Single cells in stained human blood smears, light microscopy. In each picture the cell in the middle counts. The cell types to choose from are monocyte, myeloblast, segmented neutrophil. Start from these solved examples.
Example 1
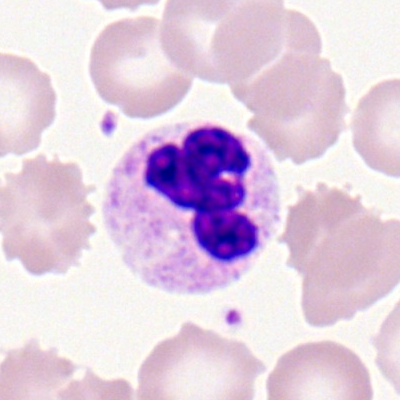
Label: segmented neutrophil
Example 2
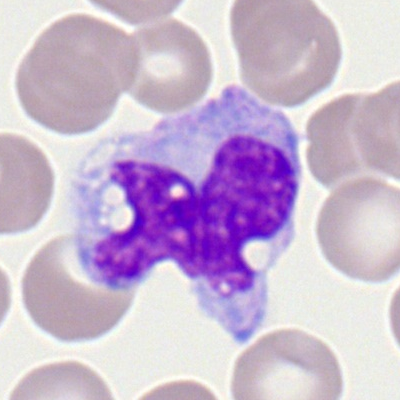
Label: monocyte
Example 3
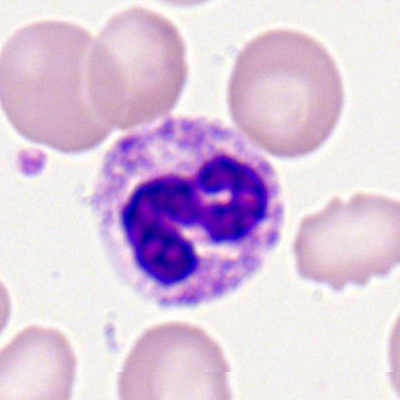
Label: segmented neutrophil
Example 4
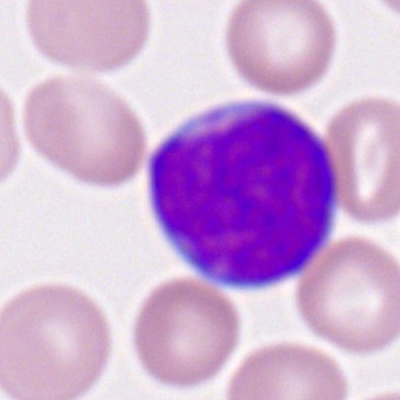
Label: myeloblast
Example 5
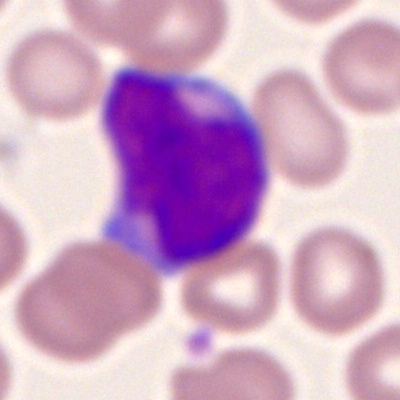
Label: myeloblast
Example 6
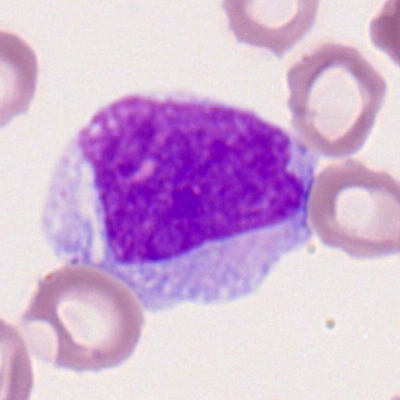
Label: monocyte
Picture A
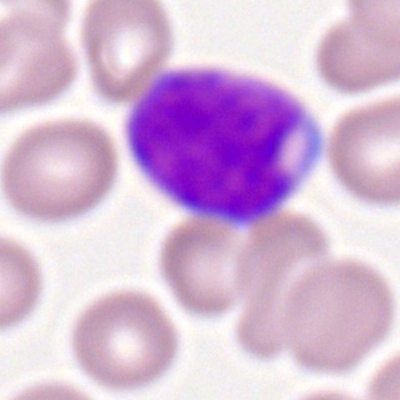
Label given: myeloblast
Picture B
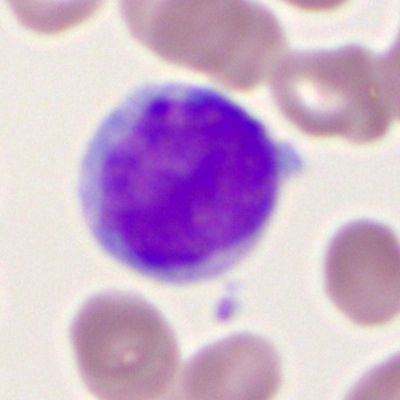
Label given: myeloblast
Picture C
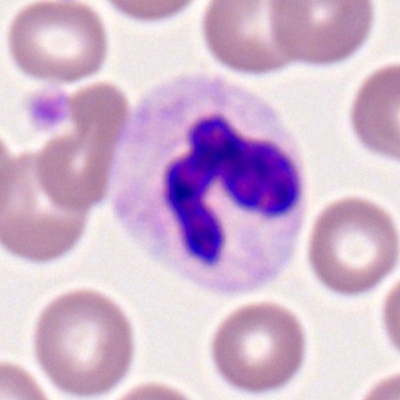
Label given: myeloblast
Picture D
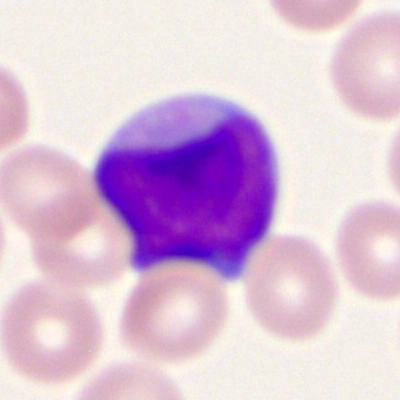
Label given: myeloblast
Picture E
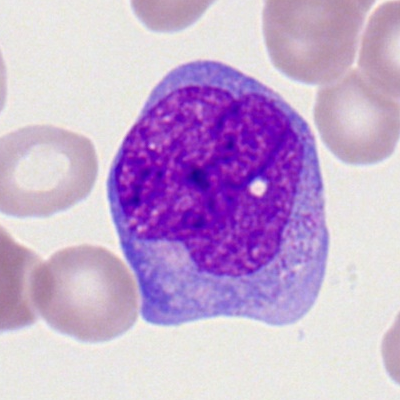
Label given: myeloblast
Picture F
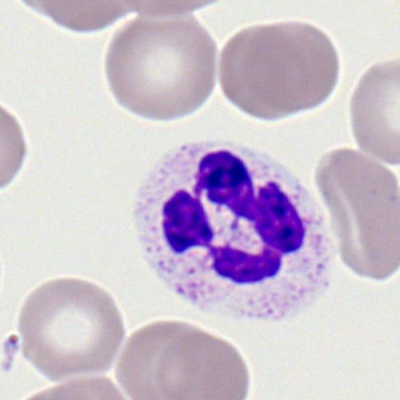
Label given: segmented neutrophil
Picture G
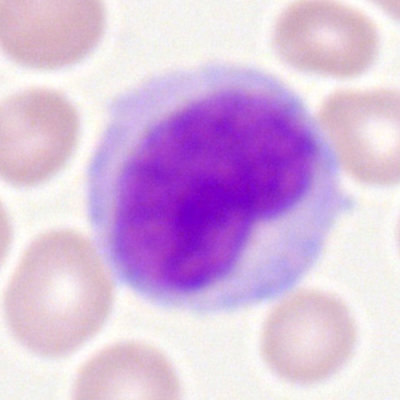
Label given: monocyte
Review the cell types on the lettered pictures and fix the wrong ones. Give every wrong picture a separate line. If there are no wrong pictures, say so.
C: not myeloblast but segmented neutrophil
E: not myeloblast but monocyte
